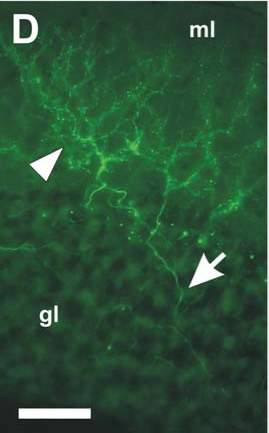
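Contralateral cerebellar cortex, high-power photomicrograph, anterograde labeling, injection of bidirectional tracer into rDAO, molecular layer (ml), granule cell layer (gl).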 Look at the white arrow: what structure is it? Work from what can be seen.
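A single thin green fiber runs down into the lower granular-looking layer. That points to this answer: climbing fiber stem axon.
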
